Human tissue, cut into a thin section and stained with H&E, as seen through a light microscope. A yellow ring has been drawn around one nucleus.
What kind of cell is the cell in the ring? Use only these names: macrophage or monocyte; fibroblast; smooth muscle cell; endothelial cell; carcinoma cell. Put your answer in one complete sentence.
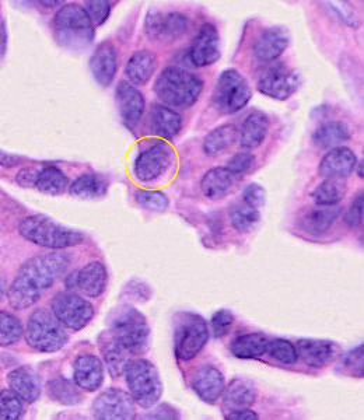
The expected answer is simply that the cell in the ring is a carcinoma cell.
